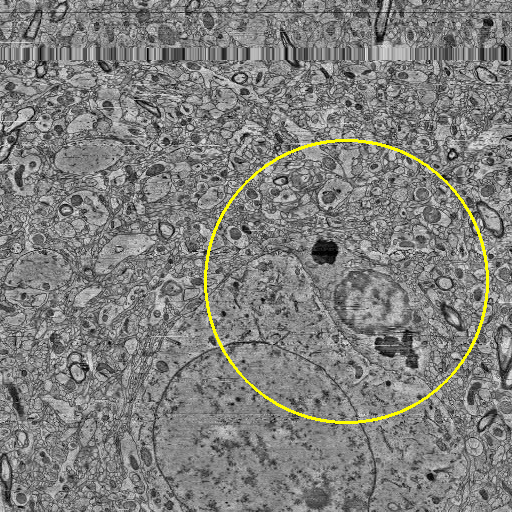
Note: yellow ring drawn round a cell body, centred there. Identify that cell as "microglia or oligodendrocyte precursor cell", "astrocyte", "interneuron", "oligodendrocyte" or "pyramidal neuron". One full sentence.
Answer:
The cell in the middle of the ring is an oligodendrocyte.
